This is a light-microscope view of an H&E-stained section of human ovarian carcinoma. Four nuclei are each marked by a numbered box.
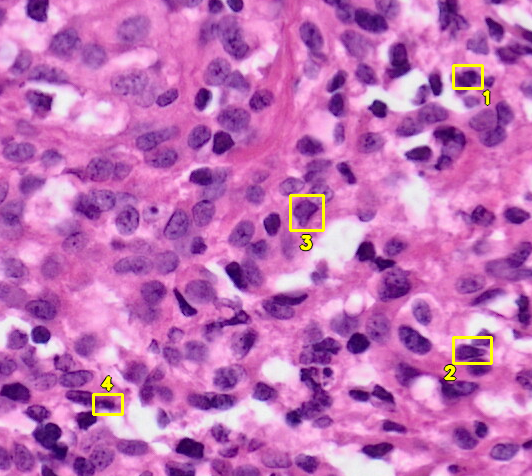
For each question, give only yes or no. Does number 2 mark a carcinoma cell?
yes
